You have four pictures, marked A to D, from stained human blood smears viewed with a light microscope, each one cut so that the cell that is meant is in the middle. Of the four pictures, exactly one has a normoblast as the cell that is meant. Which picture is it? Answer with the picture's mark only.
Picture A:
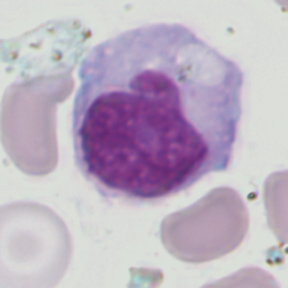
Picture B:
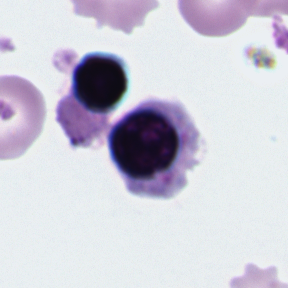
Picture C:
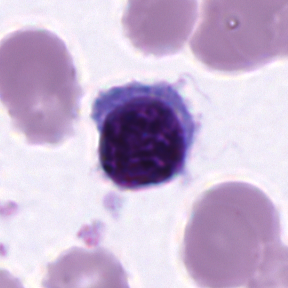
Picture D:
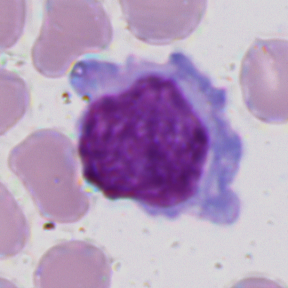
B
